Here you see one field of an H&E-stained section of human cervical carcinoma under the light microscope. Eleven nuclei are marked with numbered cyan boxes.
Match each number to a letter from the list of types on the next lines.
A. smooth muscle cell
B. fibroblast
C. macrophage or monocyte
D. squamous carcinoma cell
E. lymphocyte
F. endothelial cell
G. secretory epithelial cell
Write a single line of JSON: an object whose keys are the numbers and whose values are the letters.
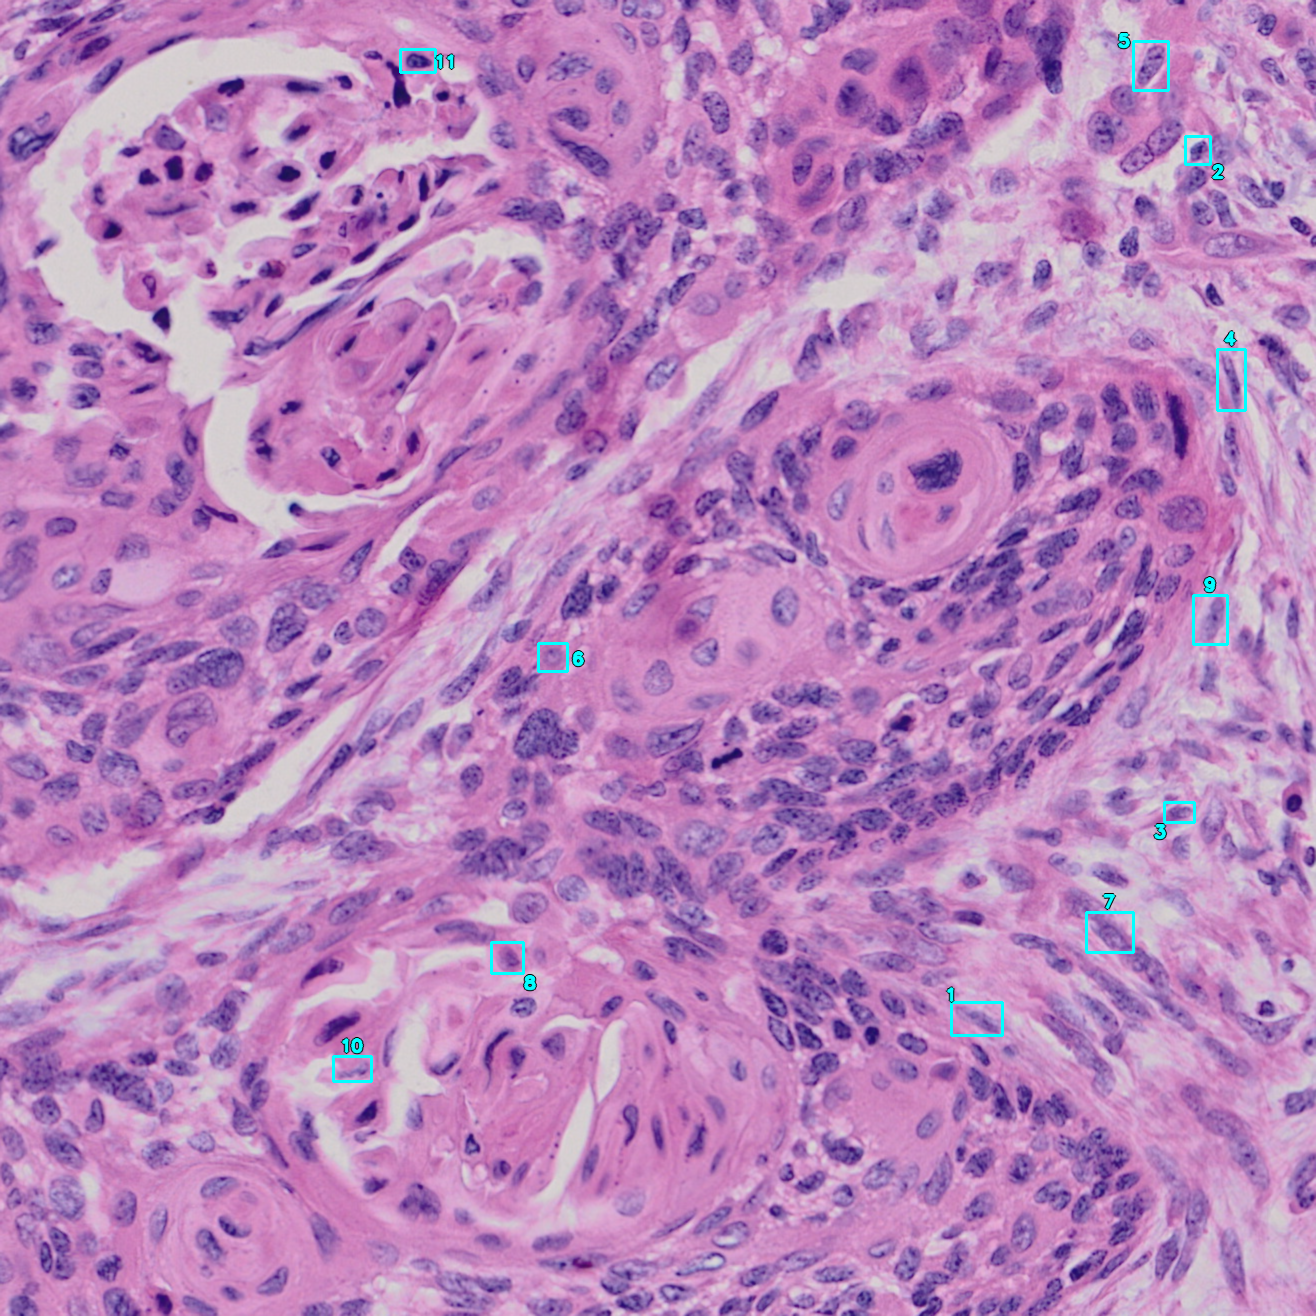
{"1": "B", "2": "E", "3": "B", "4": "B", "5": "C", "6": "D", "7": "B", "8": "D", "9": "B", "10": "D", "11": "D"}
